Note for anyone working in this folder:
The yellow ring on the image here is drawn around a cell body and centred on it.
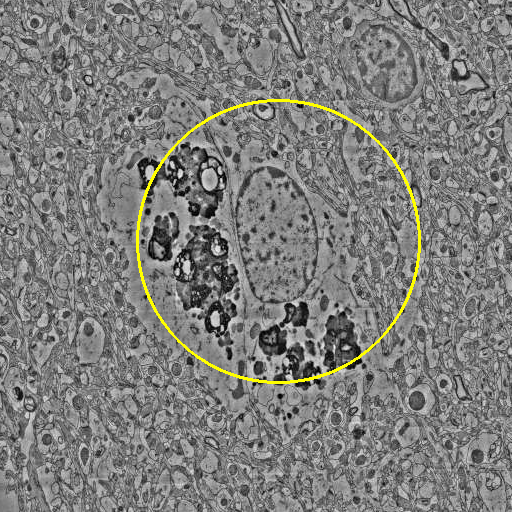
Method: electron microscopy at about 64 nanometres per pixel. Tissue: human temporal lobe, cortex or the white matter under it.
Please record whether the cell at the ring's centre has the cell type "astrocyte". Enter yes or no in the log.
yes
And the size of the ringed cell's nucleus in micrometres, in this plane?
In this plane the nucleus is clearly longer than it is wide, at approximately 9 by 5 micrometres.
